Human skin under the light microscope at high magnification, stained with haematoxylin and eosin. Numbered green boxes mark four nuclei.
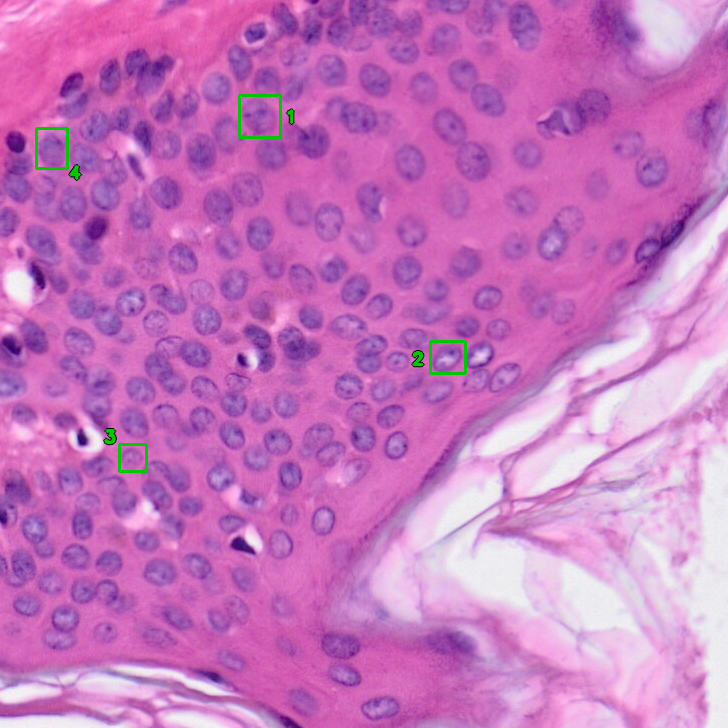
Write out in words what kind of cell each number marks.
Cells 1, 2 and 3 are suprabasal keratinocytes. Cell 4 is a basal keratinocyte.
